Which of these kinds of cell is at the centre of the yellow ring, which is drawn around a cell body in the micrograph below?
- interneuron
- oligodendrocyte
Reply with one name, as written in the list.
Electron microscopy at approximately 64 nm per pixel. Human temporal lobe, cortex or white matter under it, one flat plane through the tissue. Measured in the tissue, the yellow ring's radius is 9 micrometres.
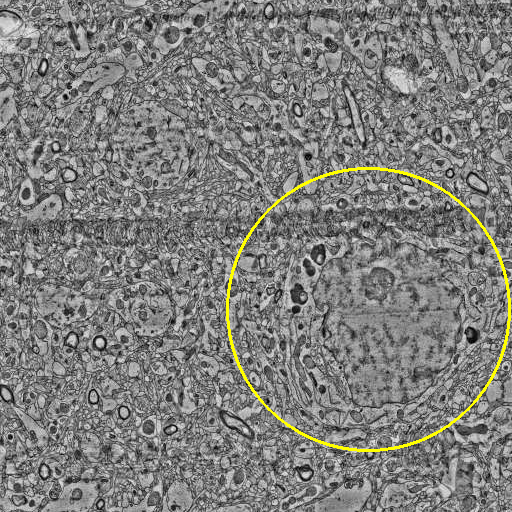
interneuron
